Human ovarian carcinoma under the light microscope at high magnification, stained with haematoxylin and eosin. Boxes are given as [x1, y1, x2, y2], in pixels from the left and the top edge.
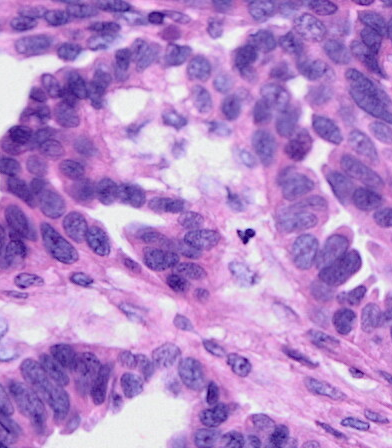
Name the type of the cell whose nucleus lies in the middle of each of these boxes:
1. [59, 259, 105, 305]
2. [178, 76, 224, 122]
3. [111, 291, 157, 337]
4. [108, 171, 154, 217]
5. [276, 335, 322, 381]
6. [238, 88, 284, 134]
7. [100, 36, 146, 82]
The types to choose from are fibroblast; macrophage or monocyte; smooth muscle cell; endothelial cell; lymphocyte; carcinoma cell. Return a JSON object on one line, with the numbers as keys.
{"1": "fibroblast", "2": "carcinoma cell", "3": "fibroblast", "4": "carcinoma cell", "5": "fibroblast", "6": "carcinoma cell", "7": "carcinoma cell"}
